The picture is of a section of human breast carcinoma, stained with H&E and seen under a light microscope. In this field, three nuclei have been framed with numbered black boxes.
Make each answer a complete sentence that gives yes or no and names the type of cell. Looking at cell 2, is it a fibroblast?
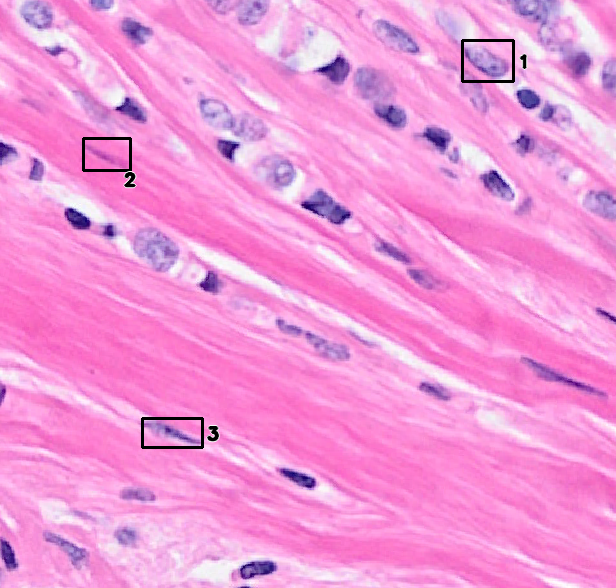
Yes, the marked cell number 2 is a fibroblast.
